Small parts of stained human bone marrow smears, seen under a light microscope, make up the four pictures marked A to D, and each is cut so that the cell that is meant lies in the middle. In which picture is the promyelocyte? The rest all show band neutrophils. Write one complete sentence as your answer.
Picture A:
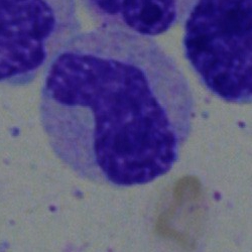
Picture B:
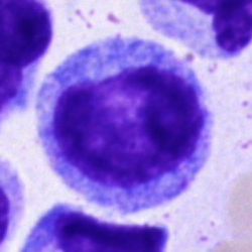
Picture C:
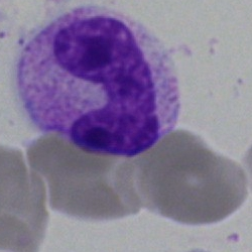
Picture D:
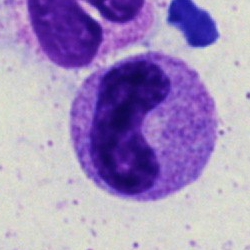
The picture with the promyelocyte is B.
